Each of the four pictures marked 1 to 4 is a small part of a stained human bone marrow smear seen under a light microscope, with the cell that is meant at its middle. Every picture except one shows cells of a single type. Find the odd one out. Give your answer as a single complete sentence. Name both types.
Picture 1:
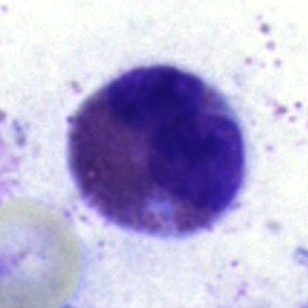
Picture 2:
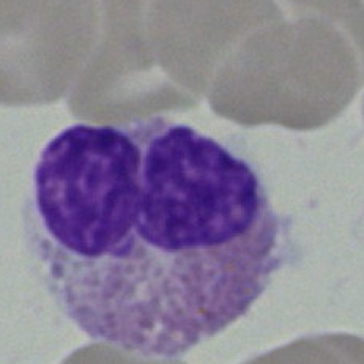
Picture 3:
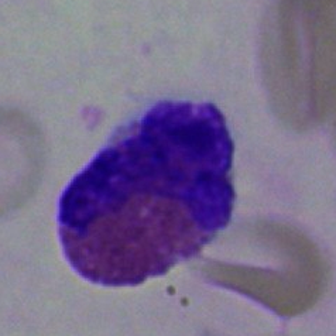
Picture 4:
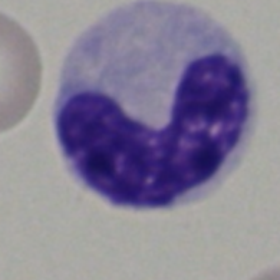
Picture 4 differs, because its cell is a band neutrophil and the rest are eosinophils.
